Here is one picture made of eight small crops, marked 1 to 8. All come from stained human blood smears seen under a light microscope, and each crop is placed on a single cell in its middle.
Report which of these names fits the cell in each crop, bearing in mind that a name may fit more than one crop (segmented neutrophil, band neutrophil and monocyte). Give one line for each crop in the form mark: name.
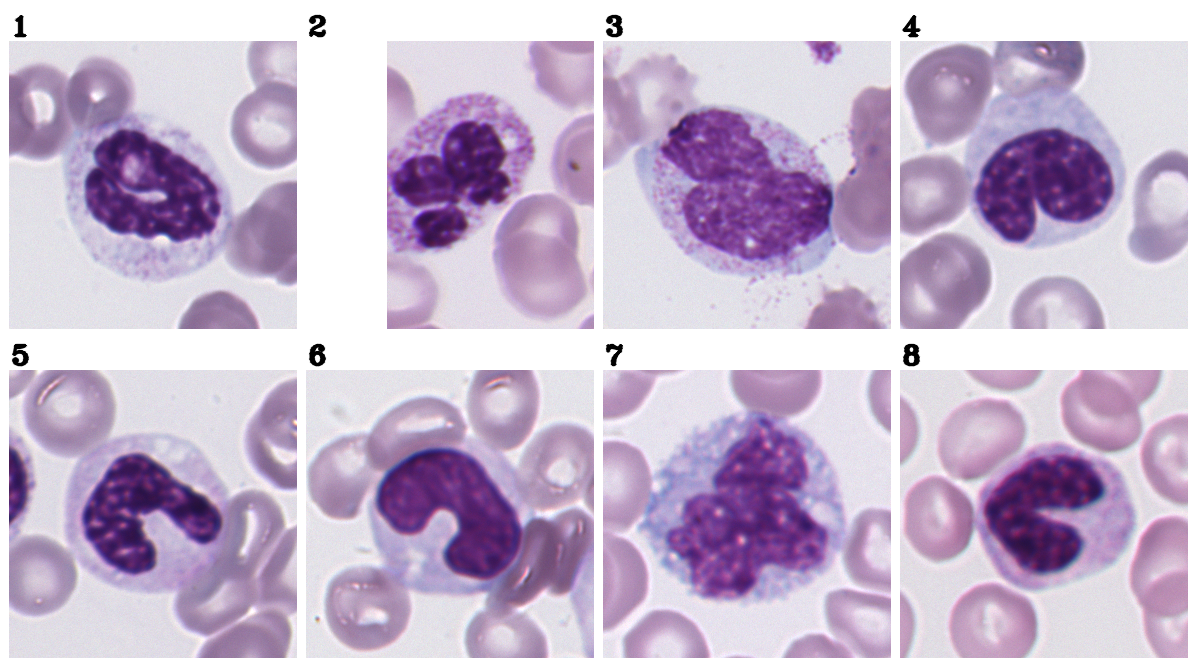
1: band neutrophil
2: segmented neutrophil
3: band neutrophil
4: band neutrophil
5: band neutrophil
6: band neutrophil
7: monocyte
8: band neutrophil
